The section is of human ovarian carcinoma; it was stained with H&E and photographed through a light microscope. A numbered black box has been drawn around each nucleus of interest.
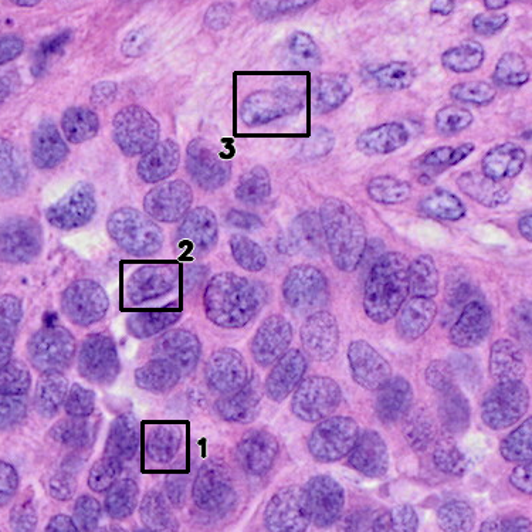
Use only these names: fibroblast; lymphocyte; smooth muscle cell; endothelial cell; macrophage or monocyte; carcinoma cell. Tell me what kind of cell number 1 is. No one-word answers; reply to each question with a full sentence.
Number 1 among the marked cells is a carcinoma cell.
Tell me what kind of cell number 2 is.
The cell identified by number 2 is a carcinoma cell.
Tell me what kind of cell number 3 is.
The cell bearing label 3 corresponds to a fibroblast.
